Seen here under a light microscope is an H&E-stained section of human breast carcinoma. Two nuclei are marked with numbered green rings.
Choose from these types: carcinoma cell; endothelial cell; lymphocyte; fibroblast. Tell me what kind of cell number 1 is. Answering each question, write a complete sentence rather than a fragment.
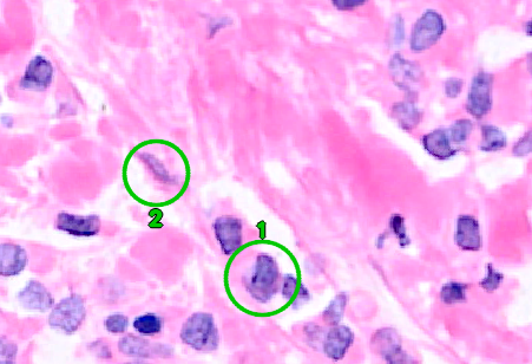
The cell that carries the label 1 is a carcinoma cell.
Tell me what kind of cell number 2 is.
The cell to which the number 2 is assigned is a fibroblast.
